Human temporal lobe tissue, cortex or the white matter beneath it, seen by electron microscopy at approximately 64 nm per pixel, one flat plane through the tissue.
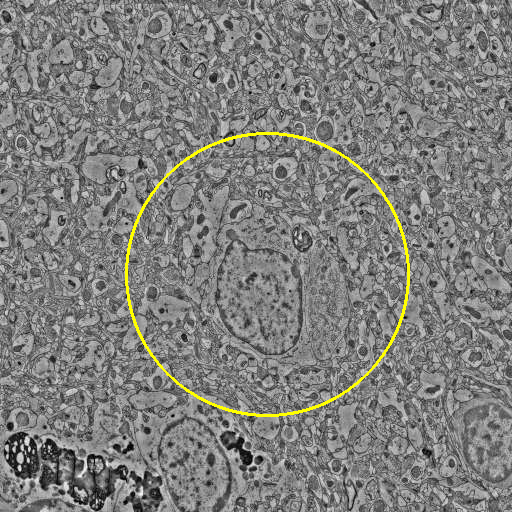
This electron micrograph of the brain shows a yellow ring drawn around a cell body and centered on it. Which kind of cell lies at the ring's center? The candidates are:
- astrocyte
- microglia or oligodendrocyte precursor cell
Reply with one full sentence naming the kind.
The cell lying at the ring's center in this micrograph is a microglial cell or oligodendrocyte precursor cell.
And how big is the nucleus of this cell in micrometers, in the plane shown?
In this plane the nucleus is about 8 micrometres by 6.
